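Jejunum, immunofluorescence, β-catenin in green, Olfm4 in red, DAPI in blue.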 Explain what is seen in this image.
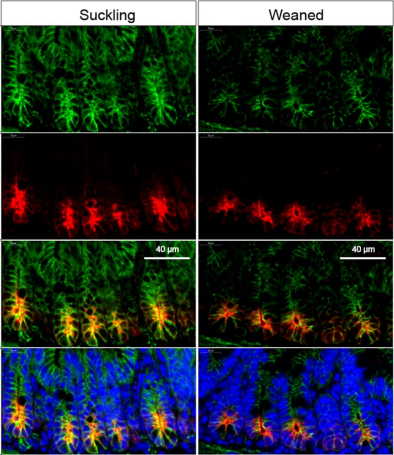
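These are intestinal crypts of the small intestine, seen as regularly spaced tubular invaginations of a densely nucleated epithelium with blue nuclei. Red signal clusters at the base of each crypt, while green signal outlines the epithelial cell borders along the crypts and above them.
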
